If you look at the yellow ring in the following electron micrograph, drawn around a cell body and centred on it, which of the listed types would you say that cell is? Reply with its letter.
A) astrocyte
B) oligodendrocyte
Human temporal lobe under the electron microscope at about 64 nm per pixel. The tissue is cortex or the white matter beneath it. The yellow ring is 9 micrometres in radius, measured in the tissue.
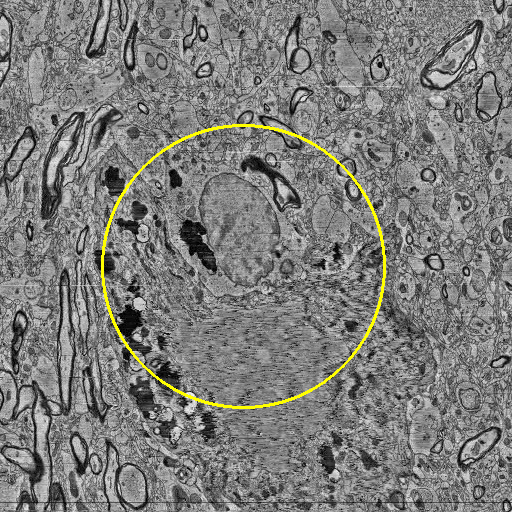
B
